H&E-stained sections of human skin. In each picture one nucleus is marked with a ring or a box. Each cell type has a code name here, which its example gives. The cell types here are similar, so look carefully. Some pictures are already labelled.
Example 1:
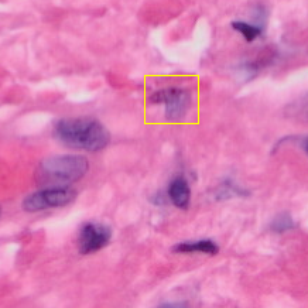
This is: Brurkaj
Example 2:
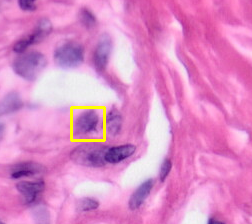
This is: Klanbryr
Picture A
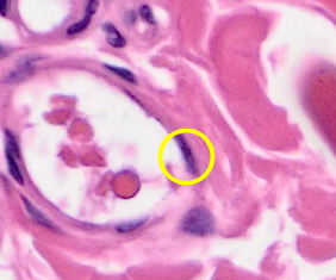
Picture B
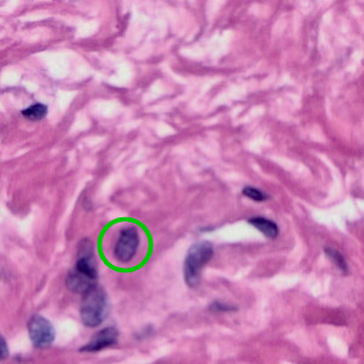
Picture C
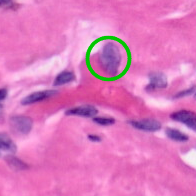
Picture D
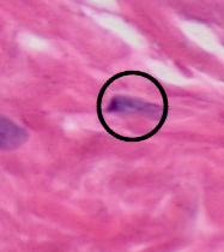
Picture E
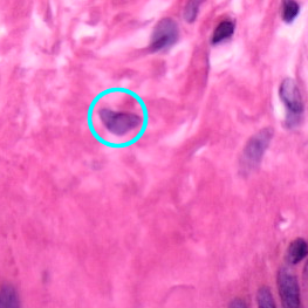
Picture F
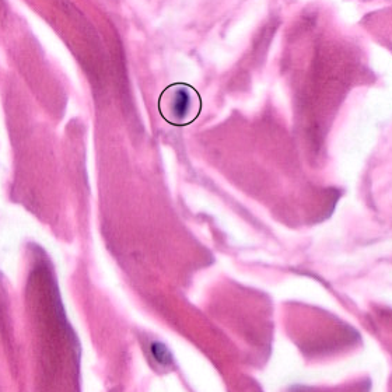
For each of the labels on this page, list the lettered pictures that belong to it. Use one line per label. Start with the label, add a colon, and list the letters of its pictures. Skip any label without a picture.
Brurkaj: D, E, F
Klanbryr: A, B, C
